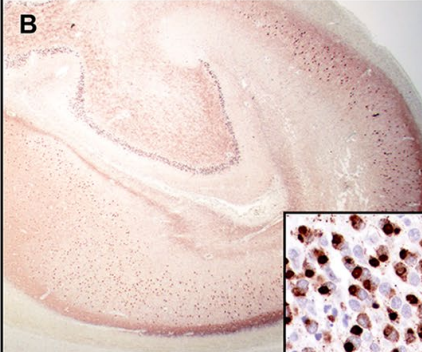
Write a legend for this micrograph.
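A low-power section of the hippocampus shows the curved, C-shaped band of the dentate gyrus granule cell layer on a pale pinkish background. Small dark reddish-brown dots are scattered throughout the granule layer and the surrounding hippocampal grey matter. The inset shows densely packed small round granule cells. Many of them carry a single dark reddish-brown round inclusion in the cytoplasm beside a bluish nucleus.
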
